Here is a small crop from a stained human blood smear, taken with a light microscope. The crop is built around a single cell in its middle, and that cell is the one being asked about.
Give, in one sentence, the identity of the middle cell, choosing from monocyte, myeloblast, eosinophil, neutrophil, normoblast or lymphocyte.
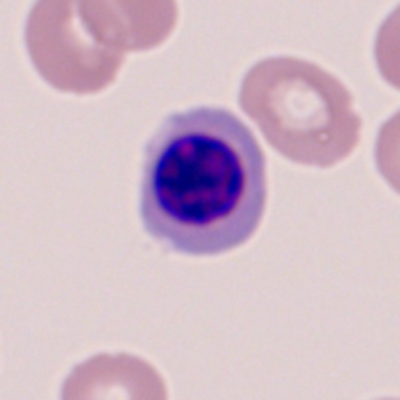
Whatever else lies nearby, the middle cell is a normoblast.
